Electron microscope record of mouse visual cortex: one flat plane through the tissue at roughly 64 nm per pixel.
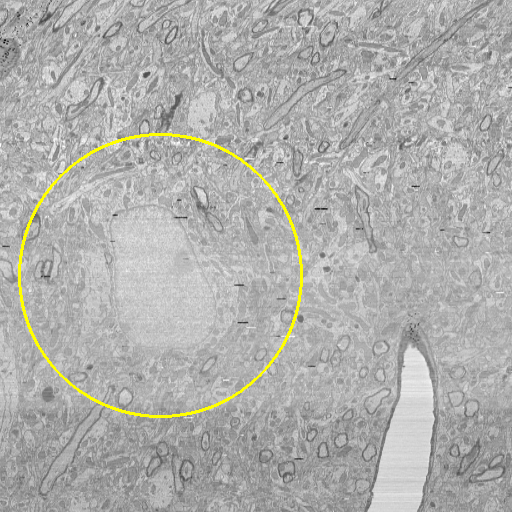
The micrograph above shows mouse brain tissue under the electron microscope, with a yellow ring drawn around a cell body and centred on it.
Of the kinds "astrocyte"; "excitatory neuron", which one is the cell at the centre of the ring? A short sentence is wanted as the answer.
The one at the centre of the ring is an astrocyte.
